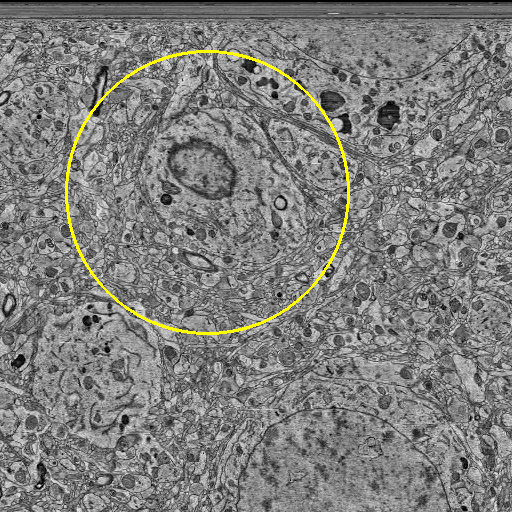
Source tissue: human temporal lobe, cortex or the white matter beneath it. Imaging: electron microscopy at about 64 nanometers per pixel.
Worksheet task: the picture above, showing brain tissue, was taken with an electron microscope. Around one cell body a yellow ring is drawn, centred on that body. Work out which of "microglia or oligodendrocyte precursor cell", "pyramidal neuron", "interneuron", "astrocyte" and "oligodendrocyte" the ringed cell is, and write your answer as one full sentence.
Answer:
It is a pyramidal neuron whose cell body lies at the centre of the yellow ring.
